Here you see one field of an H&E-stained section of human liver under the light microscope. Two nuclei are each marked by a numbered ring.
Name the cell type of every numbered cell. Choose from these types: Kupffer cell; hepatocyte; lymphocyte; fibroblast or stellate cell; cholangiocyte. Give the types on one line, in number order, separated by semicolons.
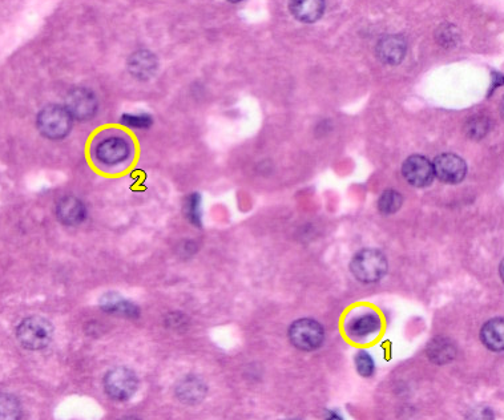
Kupffer cell; hepatocyte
